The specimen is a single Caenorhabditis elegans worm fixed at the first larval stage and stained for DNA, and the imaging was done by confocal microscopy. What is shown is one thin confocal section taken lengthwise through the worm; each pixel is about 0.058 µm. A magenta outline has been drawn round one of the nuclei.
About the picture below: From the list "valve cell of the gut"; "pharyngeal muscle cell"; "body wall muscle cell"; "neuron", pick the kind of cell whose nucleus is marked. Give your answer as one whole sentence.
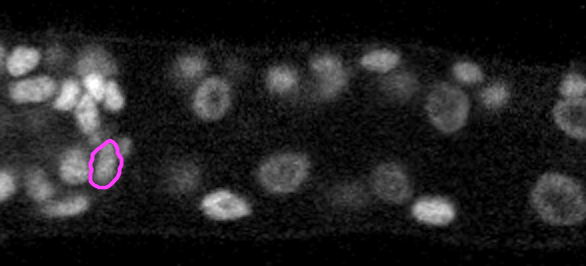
The marked nucleus belongs to a valve cell of the gut.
